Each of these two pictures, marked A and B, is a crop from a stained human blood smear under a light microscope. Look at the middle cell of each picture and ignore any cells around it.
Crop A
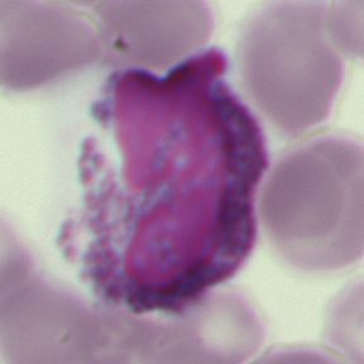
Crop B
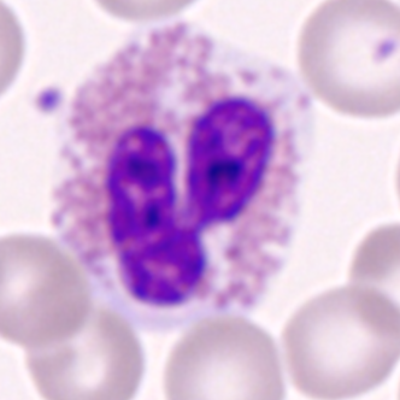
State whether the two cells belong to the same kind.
yes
